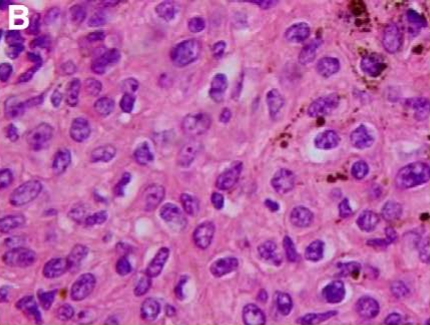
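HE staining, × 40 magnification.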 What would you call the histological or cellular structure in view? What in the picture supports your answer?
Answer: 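Pigment granules. Small brown-black granules lie in scattered clusters among the cells. The granules are darker and browner than the purple nuclei.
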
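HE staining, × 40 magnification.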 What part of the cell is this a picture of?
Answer: Nucleoli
